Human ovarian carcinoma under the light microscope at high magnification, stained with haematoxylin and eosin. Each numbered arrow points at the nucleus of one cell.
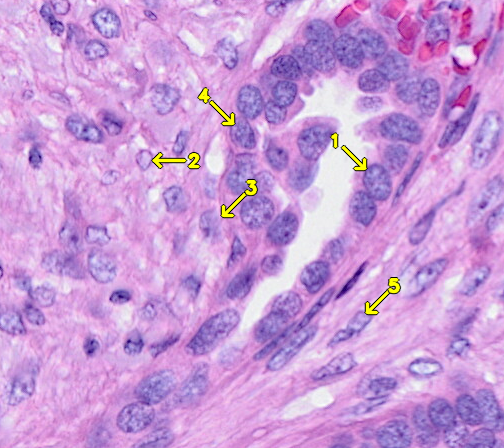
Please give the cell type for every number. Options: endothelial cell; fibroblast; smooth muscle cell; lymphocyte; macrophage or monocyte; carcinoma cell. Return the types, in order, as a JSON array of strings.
["carcinoma cell", "fibroblast", "fibroblast", "carcinoma cell", "fibroblast"]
